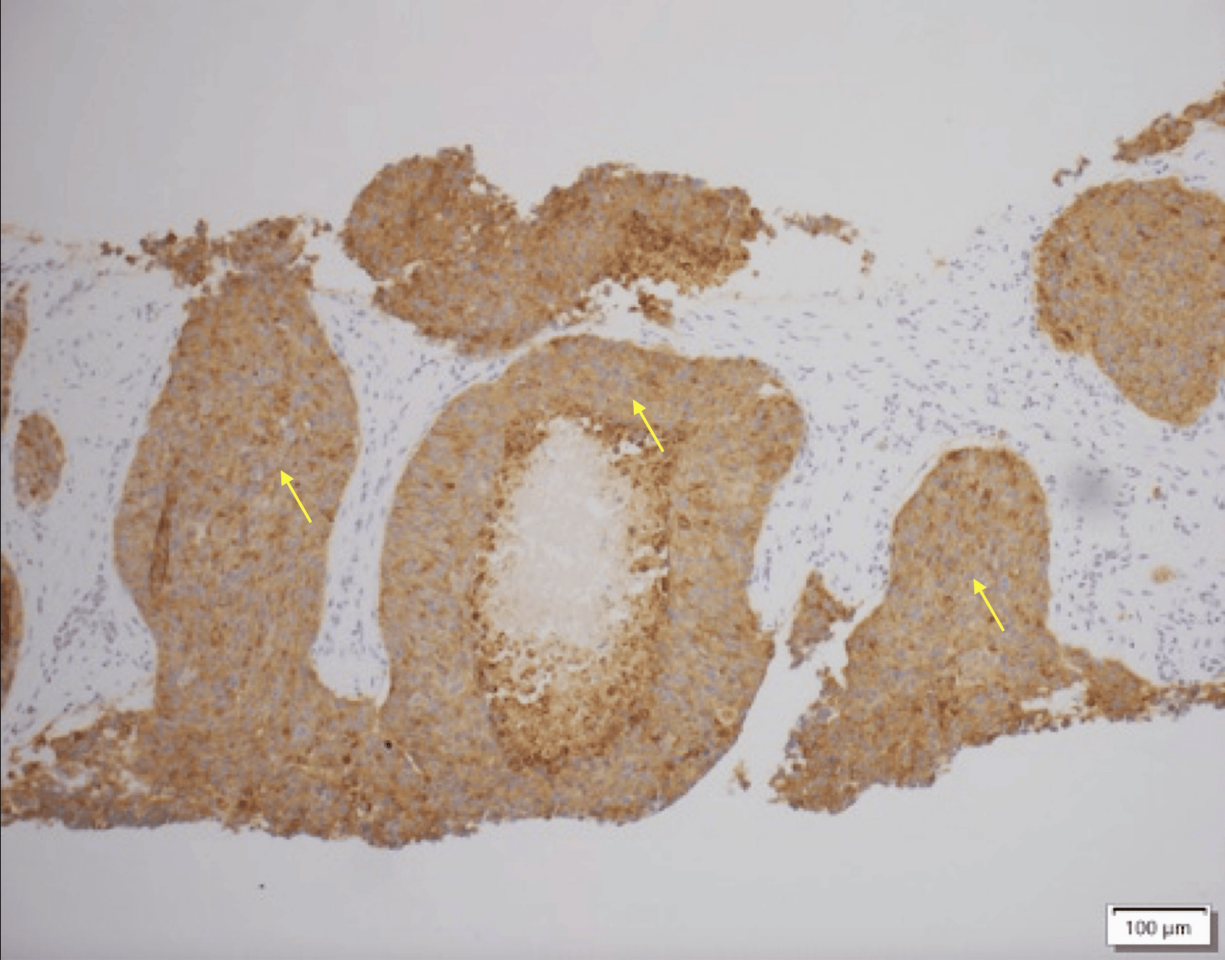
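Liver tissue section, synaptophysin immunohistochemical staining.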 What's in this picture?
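The section shows large rounded and elongated nests of neoplastic cells that have diffuse, granular brown cytoplasmic staining. The nests are separated by bands of pale, loosely textured stroma. The stroma contains scattered spindle-shaped cells with small blue nuclei and no brown stain. Within the nests the cells are densely packed, with small nuclei that show faintly blue through the brown. One nest has a central pale, amorphous area, which is rimmed by cells that stain a more intense brown. Several nests have frayed, fragmented edges.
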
